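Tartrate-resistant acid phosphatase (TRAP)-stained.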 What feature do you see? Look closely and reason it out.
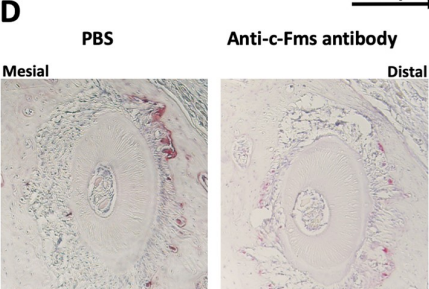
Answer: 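An oval block of dentin with fine radial tubules surrounds a small central pulp. The oval is ringed by a loose fibrous layer and then bone. The answer: root.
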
